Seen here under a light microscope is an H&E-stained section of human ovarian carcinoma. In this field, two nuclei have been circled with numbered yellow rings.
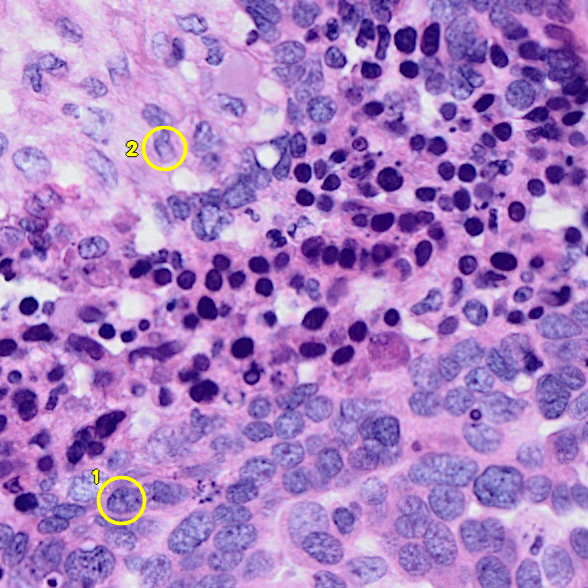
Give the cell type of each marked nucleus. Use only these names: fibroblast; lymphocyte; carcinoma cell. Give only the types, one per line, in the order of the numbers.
carcinoma cell
fibroblast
